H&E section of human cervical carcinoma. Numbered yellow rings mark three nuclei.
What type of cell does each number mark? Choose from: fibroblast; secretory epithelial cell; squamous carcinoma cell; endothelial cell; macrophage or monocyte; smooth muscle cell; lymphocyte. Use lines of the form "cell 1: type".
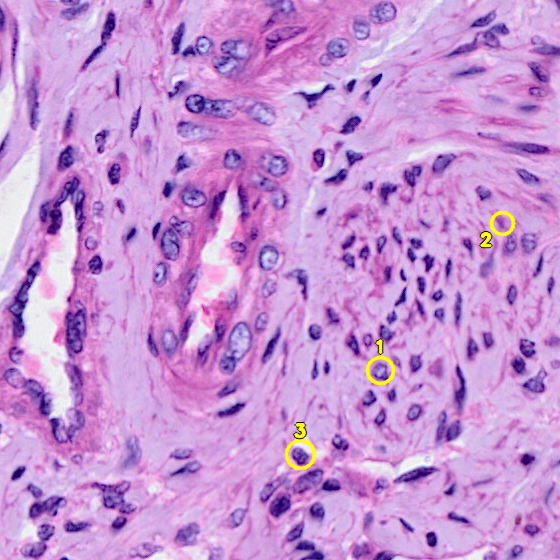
cell 1: smooth muscle cell
cell 2: smooth muscle cell
cell 3: lymphocyte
